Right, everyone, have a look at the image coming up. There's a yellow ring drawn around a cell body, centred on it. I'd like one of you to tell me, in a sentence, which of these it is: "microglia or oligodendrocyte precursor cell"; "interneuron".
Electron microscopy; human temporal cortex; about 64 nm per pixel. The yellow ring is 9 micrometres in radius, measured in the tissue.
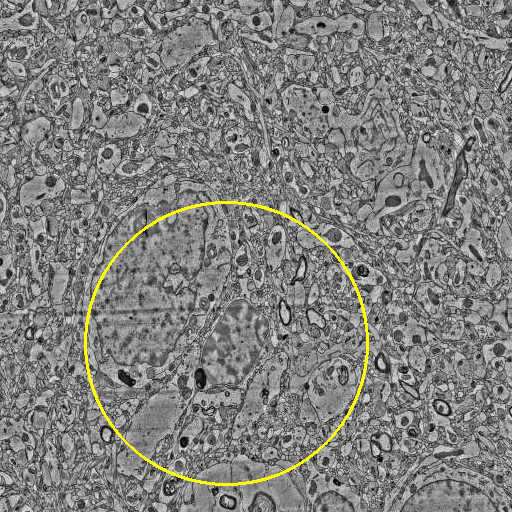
The yellow ring sits on a microglial cell or oligodendrocyte precursor cell.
